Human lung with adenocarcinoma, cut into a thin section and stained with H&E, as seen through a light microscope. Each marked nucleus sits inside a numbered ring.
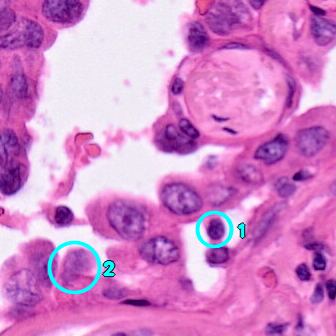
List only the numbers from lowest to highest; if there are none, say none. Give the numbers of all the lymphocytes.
1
